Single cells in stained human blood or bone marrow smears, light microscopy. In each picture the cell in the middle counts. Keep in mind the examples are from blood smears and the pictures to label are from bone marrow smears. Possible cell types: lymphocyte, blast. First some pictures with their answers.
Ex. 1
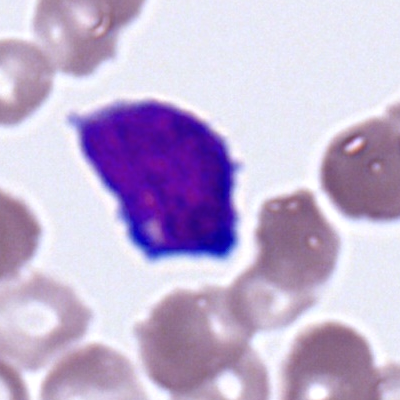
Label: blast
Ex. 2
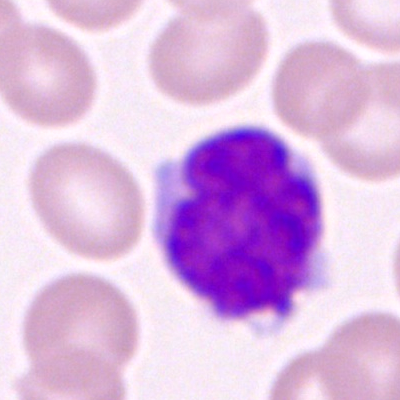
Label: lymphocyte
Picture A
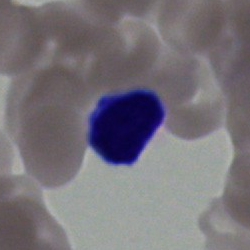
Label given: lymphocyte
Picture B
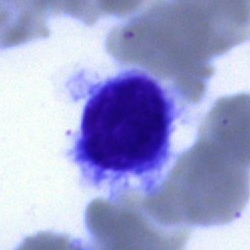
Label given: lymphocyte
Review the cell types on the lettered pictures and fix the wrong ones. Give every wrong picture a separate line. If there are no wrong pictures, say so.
None of the labels needs changing.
